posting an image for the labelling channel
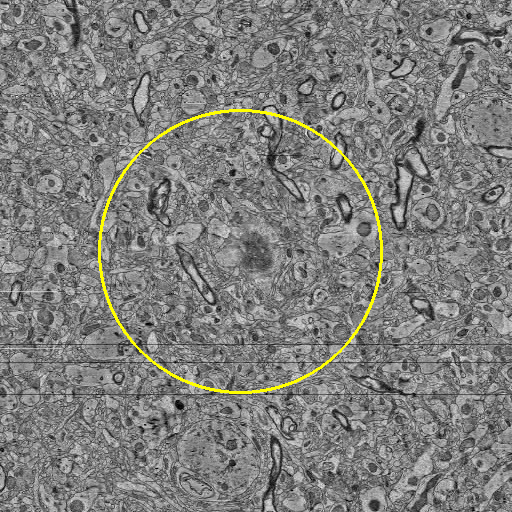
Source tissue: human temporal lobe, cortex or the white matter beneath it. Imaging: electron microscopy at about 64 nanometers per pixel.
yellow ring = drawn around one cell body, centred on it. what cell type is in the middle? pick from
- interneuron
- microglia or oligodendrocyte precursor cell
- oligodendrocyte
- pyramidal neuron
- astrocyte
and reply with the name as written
oligodendrocyte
